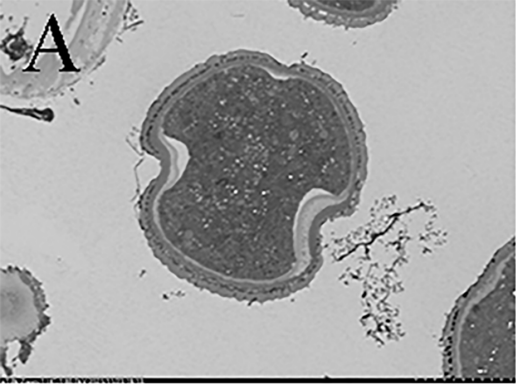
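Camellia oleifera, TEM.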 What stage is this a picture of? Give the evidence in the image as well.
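Normal pollen. A rounded grain is filled with dense granular cytoplasm. A layered wall surrounds the grain. The wall thickens and folds inward at aperture regions.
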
